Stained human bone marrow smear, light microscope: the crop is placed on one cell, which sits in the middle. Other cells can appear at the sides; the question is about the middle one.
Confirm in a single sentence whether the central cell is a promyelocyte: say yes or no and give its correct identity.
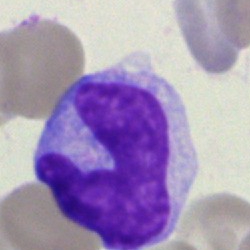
No, mark the middle cell as a monocyte, not a promyelocyte.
